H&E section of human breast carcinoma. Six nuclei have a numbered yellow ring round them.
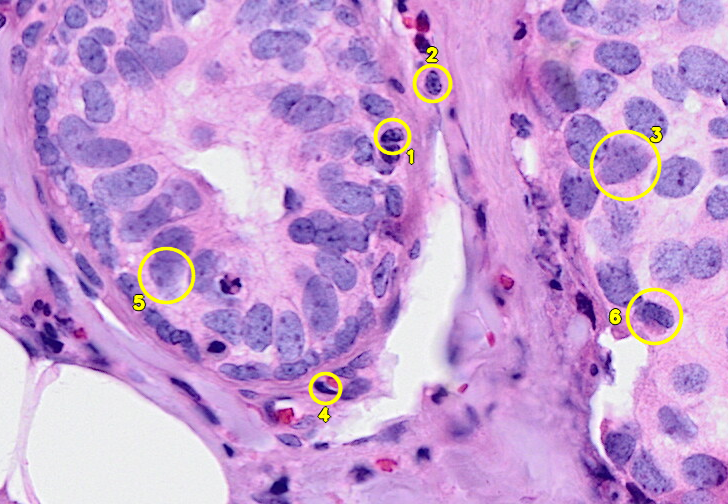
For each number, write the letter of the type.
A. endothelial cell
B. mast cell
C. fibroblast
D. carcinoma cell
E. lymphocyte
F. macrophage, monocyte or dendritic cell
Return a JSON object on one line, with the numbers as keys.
{"1": "E", "2": "B", "3": "D", "4": "A", "5": "D", "6": "D"}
